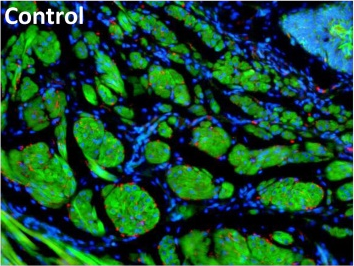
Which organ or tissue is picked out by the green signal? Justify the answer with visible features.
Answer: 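Smooth muscles. Green-filled rounded bundles of tightly packed elongated cells cut in cross section.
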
